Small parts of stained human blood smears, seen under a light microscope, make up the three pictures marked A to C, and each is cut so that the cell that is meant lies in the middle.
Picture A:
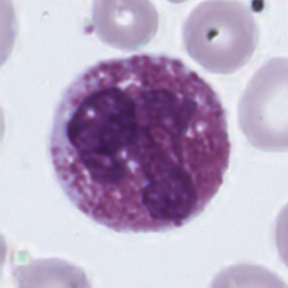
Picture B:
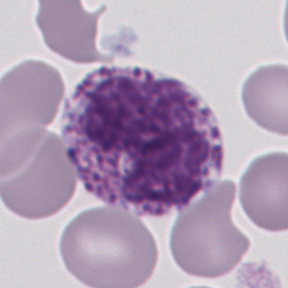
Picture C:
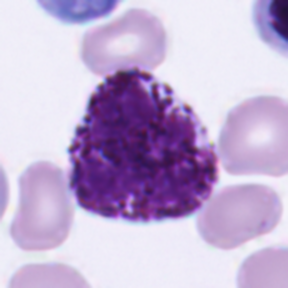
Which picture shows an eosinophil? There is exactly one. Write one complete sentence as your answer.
The eosinophil is the one in picture A.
